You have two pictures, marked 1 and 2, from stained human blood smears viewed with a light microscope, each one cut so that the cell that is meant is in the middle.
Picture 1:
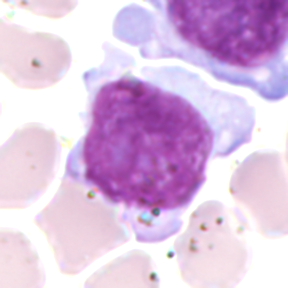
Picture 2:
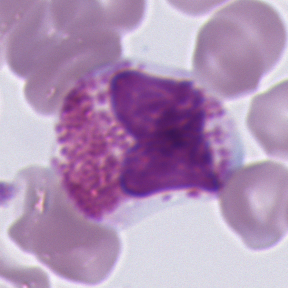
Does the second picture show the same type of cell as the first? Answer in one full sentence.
No, the types are not the same, since picture 1 shows a plasma cell and picture 2 an eosinophil.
